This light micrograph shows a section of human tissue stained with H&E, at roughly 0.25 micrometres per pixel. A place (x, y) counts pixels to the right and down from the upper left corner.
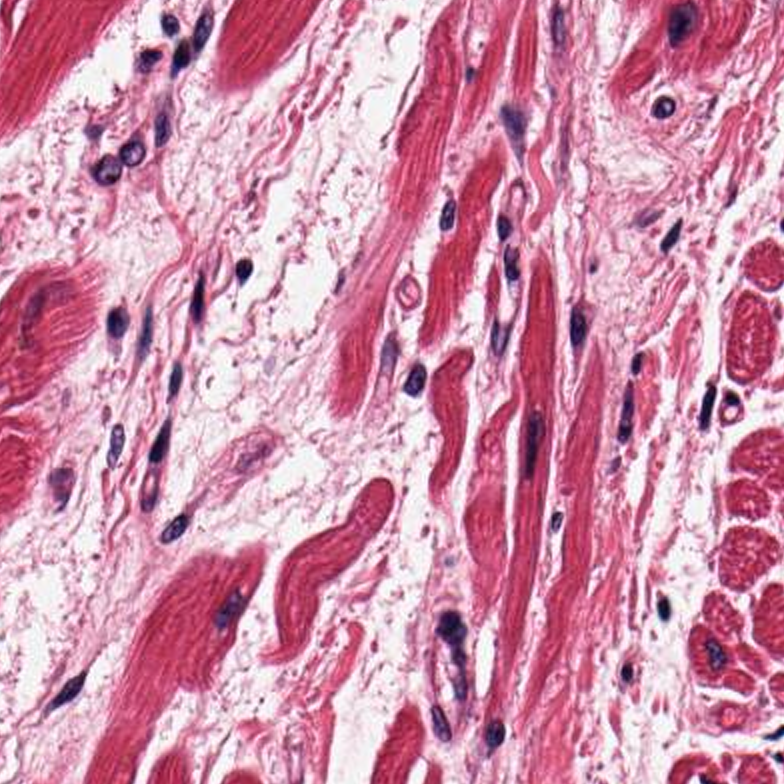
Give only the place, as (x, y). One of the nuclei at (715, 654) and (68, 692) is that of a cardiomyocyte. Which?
(715, 654)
